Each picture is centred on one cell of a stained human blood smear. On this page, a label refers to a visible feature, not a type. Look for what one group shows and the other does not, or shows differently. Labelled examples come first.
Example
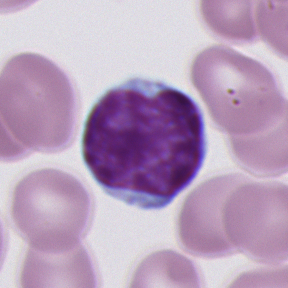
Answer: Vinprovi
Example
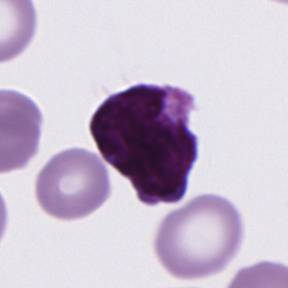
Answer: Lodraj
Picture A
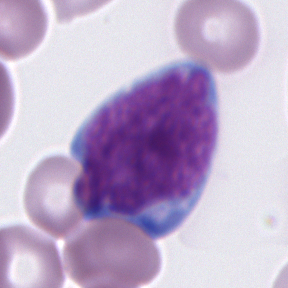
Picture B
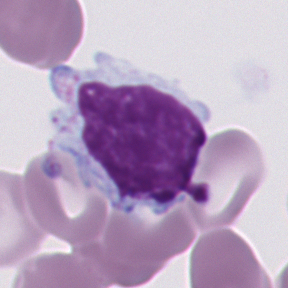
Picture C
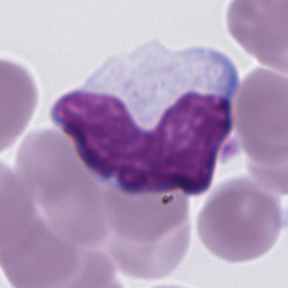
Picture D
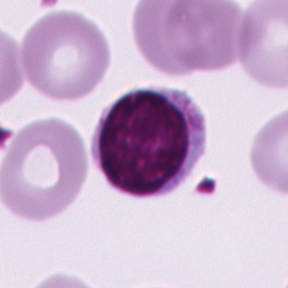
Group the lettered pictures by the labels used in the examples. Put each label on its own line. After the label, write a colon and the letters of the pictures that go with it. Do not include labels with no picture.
Vinprovi: A, D
Lodraj: B, C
